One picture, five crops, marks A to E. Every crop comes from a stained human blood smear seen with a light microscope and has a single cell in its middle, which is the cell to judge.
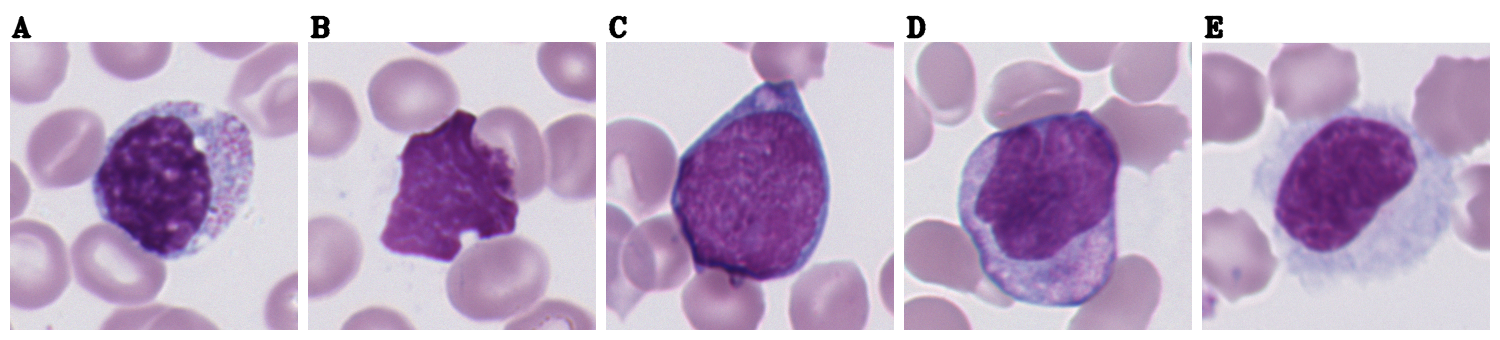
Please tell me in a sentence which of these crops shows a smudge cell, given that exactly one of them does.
Crop B is the crop containing a smudge cell.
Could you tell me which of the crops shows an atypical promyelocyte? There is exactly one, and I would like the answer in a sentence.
Crop D is the one to choose: it shows an atypical promyelocyte.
